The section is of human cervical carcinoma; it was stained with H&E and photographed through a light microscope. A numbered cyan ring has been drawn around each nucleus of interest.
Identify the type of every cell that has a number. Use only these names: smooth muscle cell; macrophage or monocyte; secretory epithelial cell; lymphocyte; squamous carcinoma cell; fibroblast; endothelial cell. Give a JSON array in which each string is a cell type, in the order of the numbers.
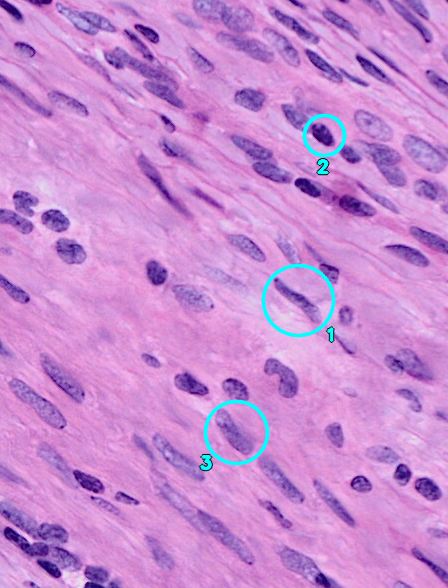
["fibroblast", "lymphocyte", "fibroblast"]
